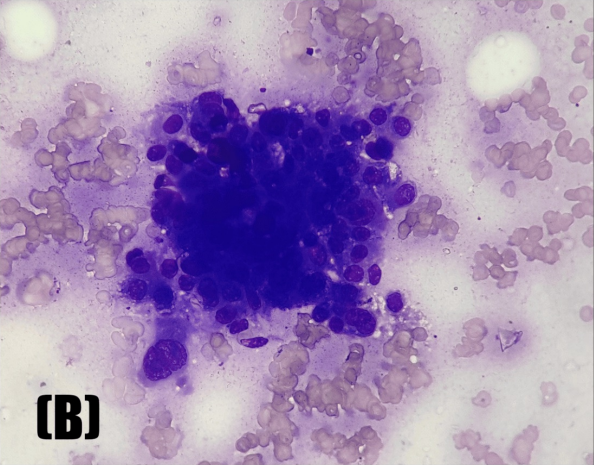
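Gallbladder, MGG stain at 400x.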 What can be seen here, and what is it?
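This is a dense, three-dimensional cluster of malignant epithelial cells lying among pale red blood cells. The cells are crowded and overlap so heavily that the centre of the cluster appears as a dark purple mass. At the edges, single nuclei can be made out; they are large, round to irregular in outline and deeply stained. Very little cytoplasm surrounds each nucleus, giving a high nuclear to cytoplasmic ratio. Nuclear size varies from cell to cell, and some nuclei look coarse and hyperchromatic.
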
